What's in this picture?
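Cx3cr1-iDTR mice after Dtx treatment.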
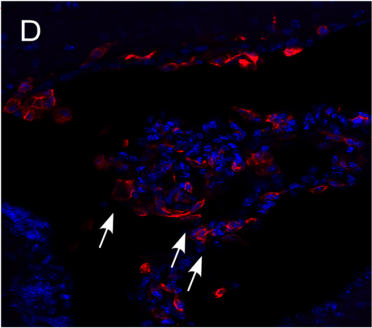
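This is choroid plexus lying in a dark ventricular space, shown as irregular folded strands of tissue with crowded blue nuclei. Among the epithelial nuclei lie many red cells, several marked by arrows. These red cells are elongated or irregular, with flattened bodies and short processes, and they are spread through the folds and along the surface of the strands, some in small clusters. Compared with a plexus holding only occasional red cells, these cells are numerous, scattered across most of the field, and the tissue looks loosely arranged rather than a neat single sheet.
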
